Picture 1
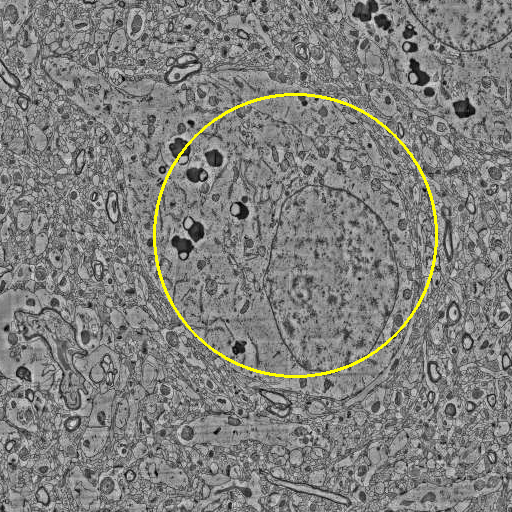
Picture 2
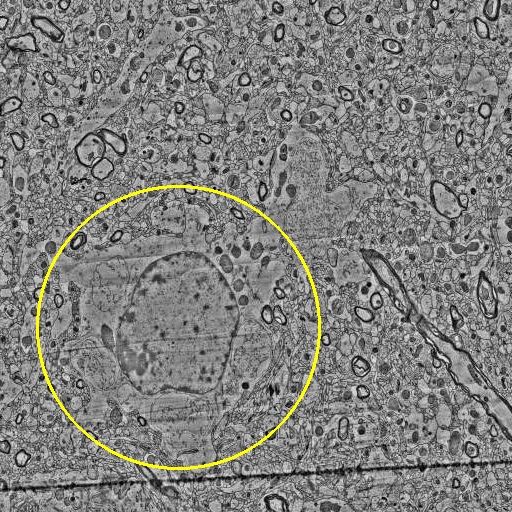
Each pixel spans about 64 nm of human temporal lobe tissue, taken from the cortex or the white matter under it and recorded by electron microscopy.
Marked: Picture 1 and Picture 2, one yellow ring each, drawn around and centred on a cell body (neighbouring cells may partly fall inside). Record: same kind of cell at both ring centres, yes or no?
no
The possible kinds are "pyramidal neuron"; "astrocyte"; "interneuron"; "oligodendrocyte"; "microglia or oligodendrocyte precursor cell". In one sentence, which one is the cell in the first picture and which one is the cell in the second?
The cell ringed in the second picture is an astrocyte, whereas the one ringed in the first is a pyramidal neuron.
